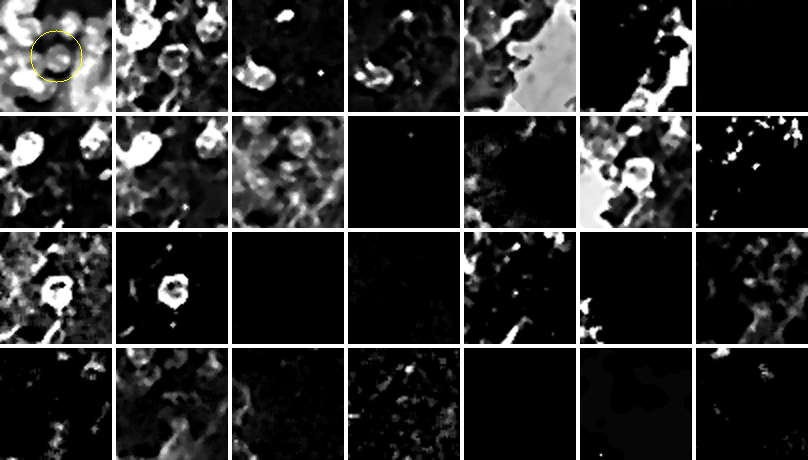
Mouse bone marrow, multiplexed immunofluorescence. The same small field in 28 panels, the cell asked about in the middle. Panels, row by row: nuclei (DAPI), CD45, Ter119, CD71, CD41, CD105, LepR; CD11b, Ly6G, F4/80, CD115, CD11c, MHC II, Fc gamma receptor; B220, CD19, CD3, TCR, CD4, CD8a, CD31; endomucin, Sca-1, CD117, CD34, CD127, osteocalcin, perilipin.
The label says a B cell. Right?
Right.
